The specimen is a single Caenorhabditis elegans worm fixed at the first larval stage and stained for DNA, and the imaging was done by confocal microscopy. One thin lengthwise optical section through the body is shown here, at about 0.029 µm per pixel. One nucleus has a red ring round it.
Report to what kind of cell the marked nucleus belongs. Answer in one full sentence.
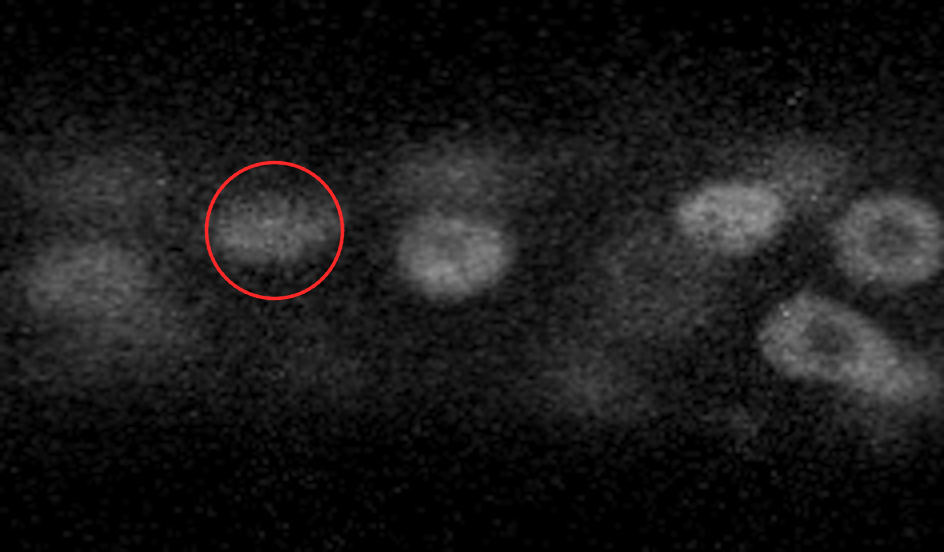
The marked cell is a P cell (ventral epidermal blast cell).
